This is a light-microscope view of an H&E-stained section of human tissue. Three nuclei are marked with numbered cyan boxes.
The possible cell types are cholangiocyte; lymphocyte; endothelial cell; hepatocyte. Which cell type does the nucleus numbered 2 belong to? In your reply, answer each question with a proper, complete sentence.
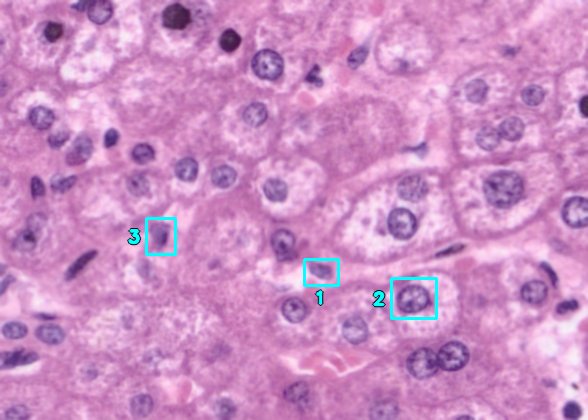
The one numbered 2 among the marked cells is a hepatocyte.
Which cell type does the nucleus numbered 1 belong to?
The cell indicated with the number 1 is classed as a lymphocyte.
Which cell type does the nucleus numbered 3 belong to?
The cell whose nucleus carries the number 3 is an endothelial cell.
